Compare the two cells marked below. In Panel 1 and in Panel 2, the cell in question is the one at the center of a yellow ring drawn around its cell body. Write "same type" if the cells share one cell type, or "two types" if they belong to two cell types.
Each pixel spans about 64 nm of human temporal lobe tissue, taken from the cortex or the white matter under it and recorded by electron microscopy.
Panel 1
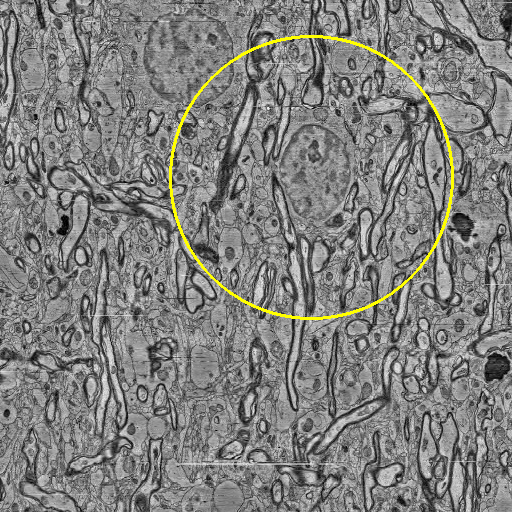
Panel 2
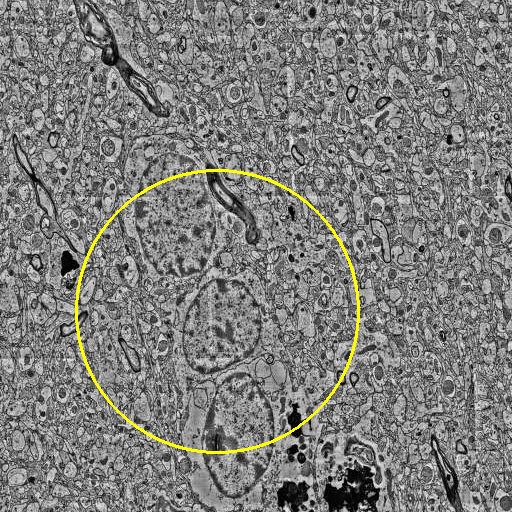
two types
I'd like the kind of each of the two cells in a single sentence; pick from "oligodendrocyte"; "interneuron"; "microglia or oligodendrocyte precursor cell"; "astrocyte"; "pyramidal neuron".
The first ring marks an oligodendrocyte, and the second ring marks an astrocyte.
